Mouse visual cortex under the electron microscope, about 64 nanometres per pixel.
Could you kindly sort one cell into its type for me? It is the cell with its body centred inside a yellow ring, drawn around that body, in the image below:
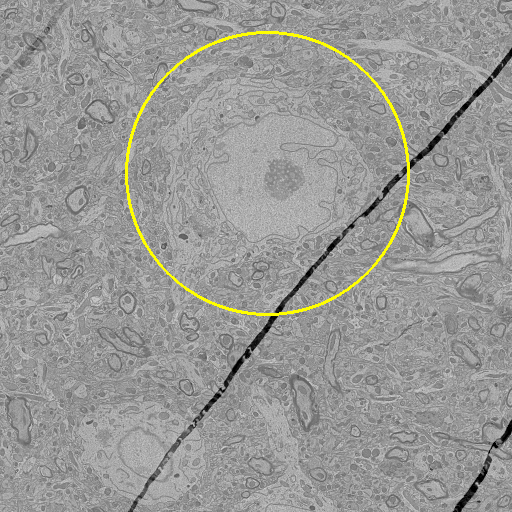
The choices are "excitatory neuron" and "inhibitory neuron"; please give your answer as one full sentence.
The cell whose body lies centred in the yellow ring here is an inhibitory neuron.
